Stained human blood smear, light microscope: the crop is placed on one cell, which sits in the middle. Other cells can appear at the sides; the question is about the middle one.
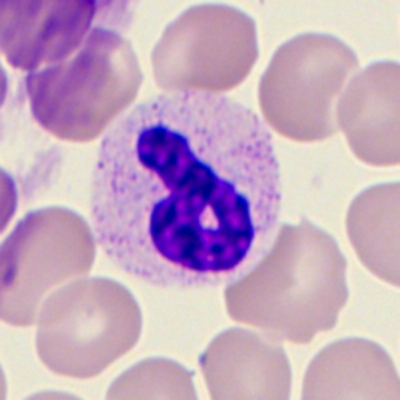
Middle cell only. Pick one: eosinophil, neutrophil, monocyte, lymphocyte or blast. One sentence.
The central cell, amid any neighbouring cells, is a neutrophil.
